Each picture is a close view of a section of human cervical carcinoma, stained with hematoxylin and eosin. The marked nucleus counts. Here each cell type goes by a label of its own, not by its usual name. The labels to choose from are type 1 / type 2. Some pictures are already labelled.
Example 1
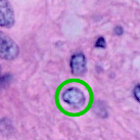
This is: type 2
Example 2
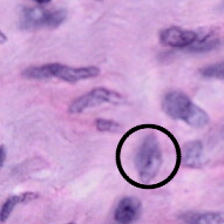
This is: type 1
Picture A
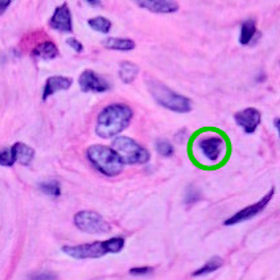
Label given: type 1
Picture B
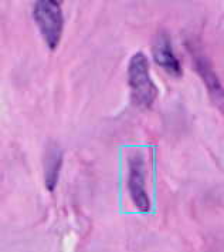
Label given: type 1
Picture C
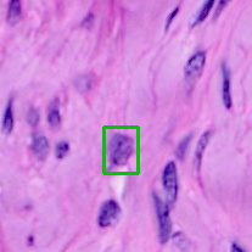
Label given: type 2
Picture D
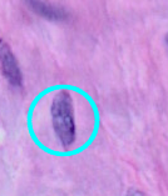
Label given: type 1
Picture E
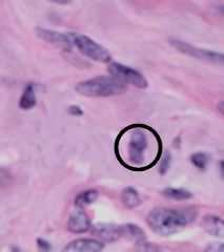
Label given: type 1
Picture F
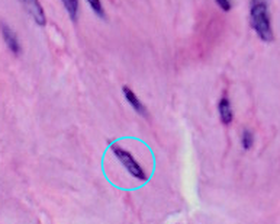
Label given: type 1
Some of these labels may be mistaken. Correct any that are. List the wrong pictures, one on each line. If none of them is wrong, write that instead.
C: not type 2 but type 1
